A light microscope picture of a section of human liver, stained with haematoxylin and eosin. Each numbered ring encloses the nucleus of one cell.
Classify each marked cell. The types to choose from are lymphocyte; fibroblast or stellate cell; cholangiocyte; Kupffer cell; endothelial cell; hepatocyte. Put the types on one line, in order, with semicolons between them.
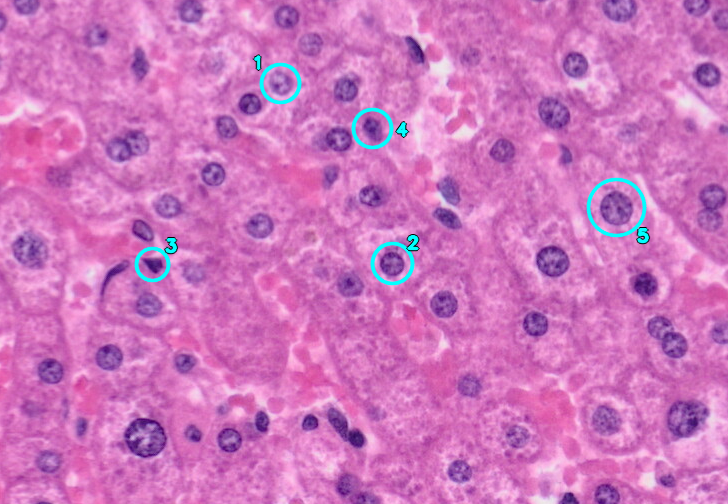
hepatocyte; hepatocyte; fibroblast or stellate cell; fibroblast or stellate cell; hepatocyte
